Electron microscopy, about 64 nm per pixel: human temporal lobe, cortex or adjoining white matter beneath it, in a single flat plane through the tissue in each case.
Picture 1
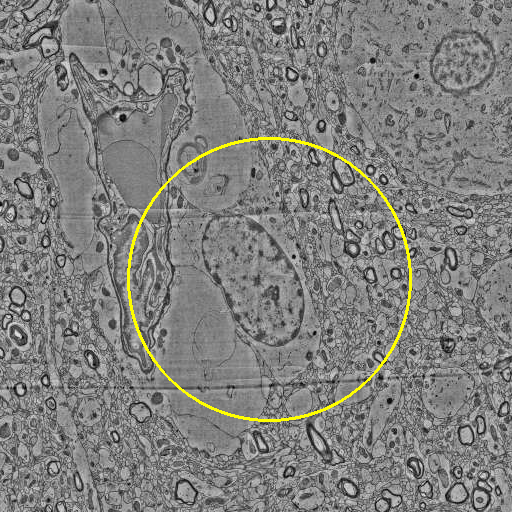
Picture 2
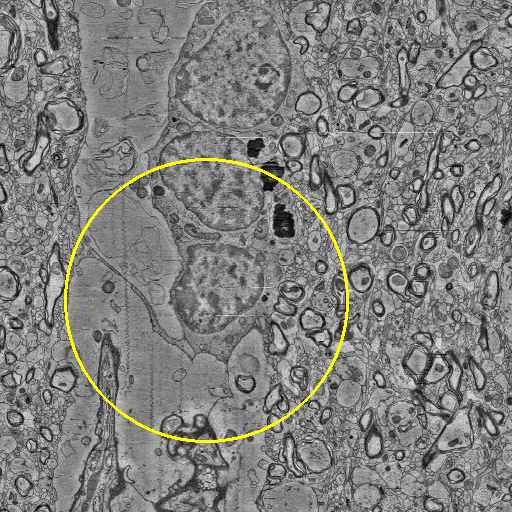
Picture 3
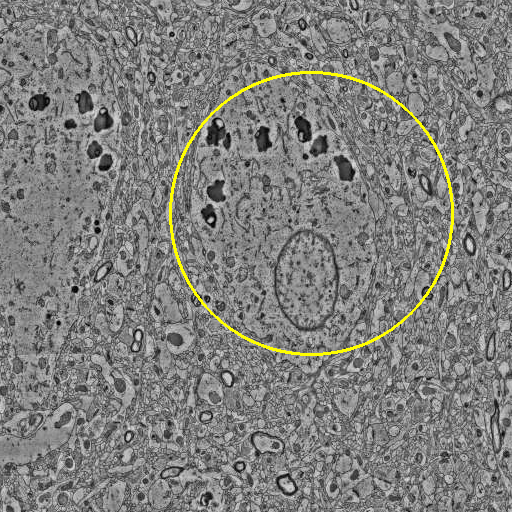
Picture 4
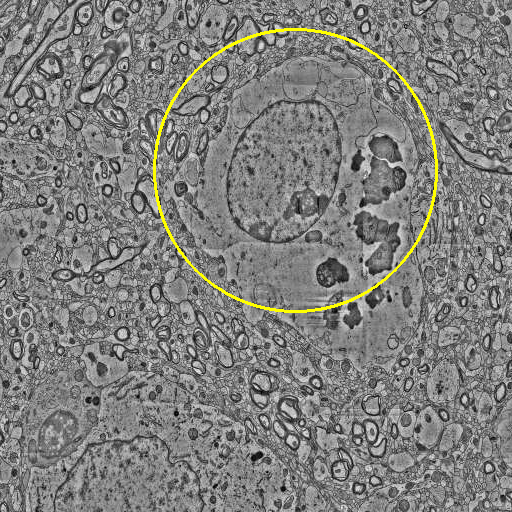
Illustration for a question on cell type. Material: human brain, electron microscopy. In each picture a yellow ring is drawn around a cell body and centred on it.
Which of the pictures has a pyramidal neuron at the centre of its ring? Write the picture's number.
3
